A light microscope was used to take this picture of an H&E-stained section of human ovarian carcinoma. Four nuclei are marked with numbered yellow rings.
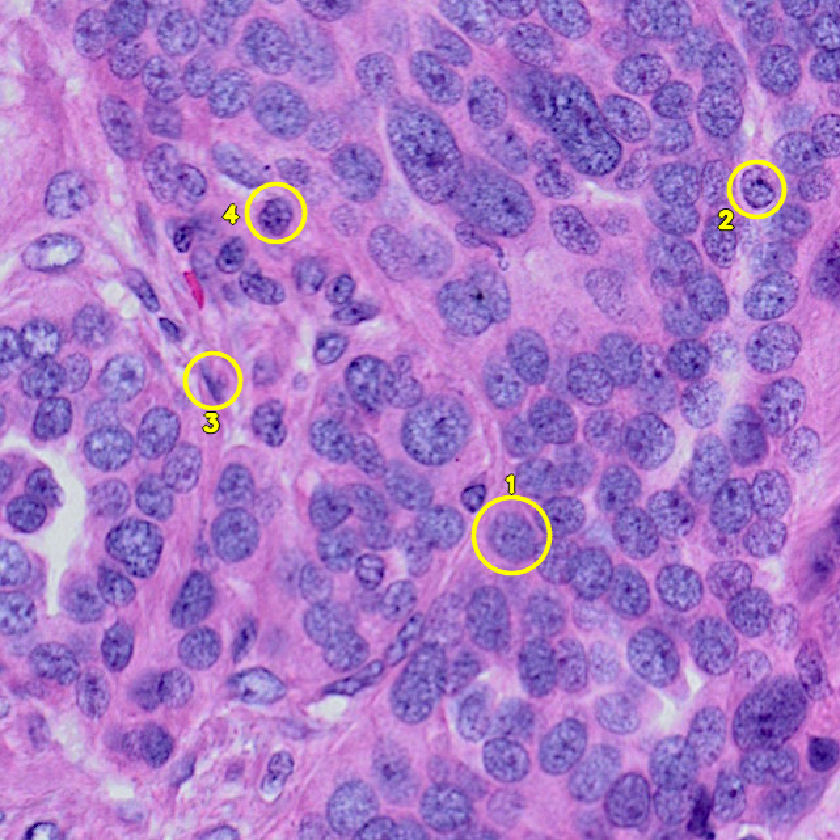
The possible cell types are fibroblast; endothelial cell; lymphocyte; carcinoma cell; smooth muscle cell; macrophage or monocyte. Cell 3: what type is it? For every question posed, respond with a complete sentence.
In this section, number 3 marks a fibroblast.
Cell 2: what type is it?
The one numbered 2 among the marked cells is a macrophage or monocyte.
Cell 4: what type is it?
The cell pointed out as number 4 is a macrophage or monocyte.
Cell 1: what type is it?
The cell that bears the number 1 is a carcinoma cell.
